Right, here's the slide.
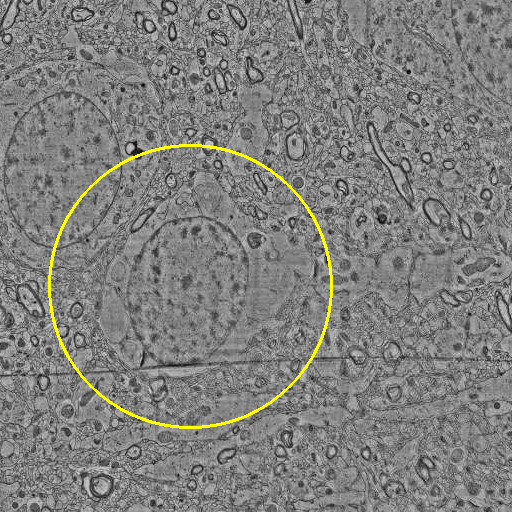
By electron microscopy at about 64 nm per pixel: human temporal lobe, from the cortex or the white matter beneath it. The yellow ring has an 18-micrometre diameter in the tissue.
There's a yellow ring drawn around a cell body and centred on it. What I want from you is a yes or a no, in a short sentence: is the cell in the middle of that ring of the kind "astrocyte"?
Yes, it's of that kind.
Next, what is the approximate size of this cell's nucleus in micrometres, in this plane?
In this plane the nucleus spans approximately 10 by 7 micrometers.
